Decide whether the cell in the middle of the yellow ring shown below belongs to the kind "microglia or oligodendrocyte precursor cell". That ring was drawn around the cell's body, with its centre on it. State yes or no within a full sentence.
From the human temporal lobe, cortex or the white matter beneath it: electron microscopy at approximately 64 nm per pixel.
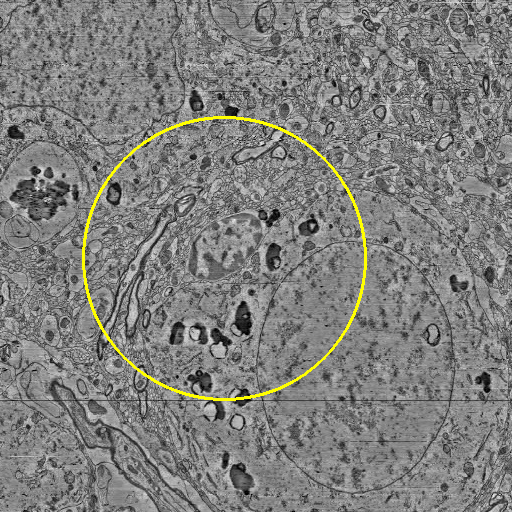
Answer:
Yes, the cell whose body lies at the ring's centre in the picture belongs to that kind.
